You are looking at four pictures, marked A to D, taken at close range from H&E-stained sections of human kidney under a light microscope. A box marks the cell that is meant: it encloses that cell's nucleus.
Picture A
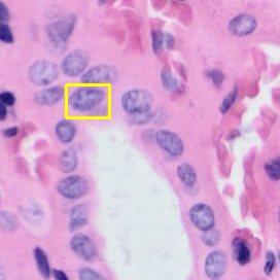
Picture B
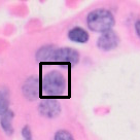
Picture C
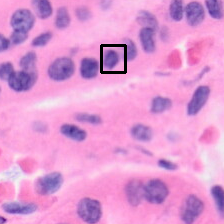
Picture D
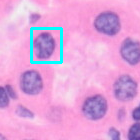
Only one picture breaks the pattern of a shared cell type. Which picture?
D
